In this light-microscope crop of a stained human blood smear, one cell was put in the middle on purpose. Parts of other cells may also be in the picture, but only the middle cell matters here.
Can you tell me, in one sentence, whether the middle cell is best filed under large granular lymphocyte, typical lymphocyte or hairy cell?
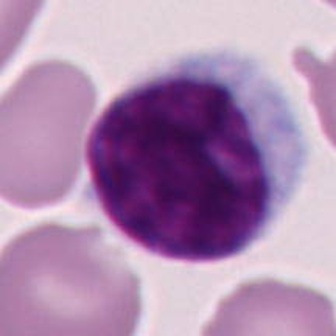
This crop has a hairy cell at its centre.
